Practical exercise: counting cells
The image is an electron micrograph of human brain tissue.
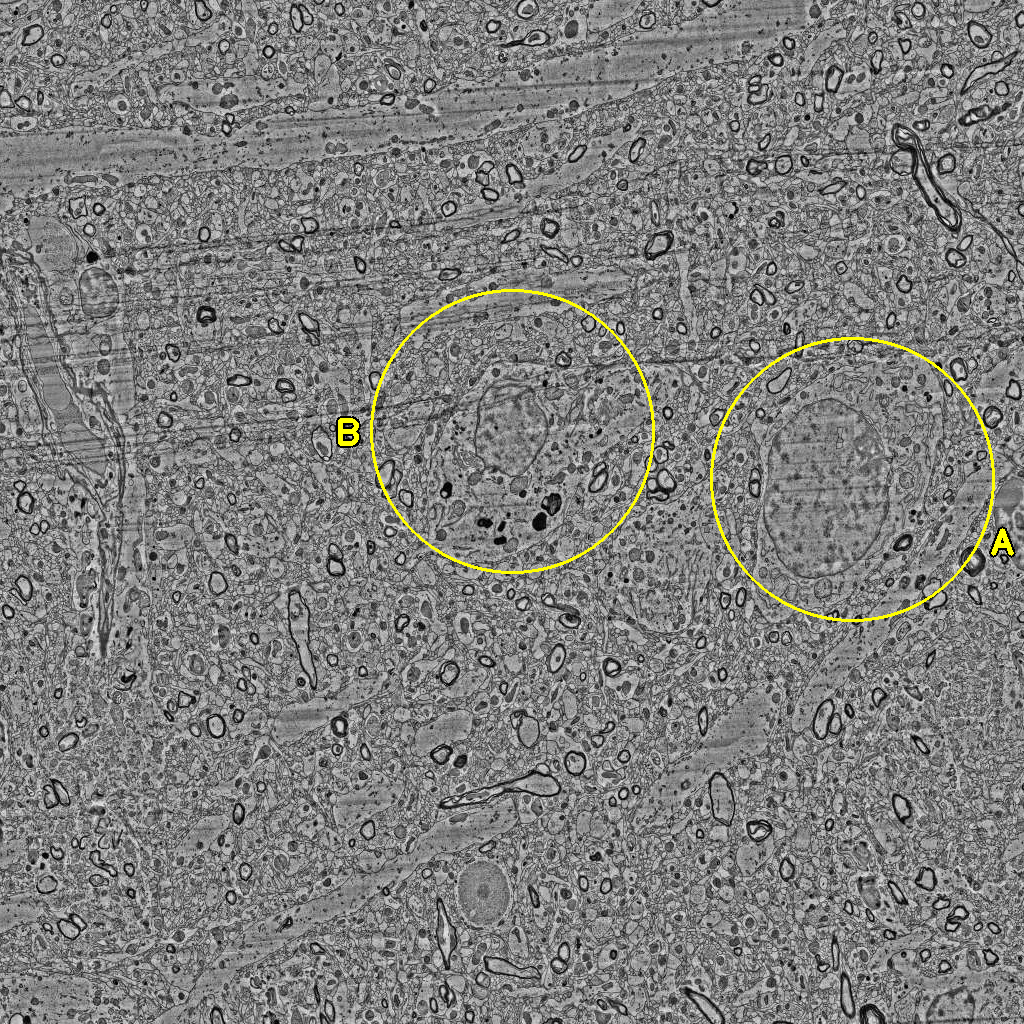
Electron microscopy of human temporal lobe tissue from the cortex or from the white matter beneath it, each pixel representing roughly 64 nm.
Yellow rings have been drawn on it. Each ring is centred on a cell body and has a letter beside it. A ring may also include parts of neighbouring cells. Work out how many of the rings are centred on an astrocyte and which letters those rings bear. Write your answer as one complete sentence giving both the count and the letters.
Looking across all the lettered rings, none is centred on an astrocyte, so the count is zero.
